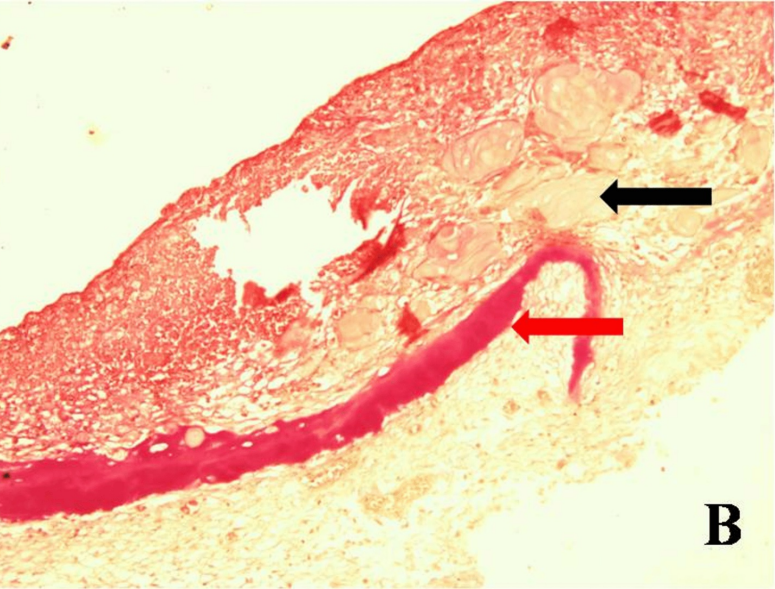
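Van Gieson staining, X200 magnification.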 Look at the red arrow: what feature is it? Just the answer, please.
dentinoid material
